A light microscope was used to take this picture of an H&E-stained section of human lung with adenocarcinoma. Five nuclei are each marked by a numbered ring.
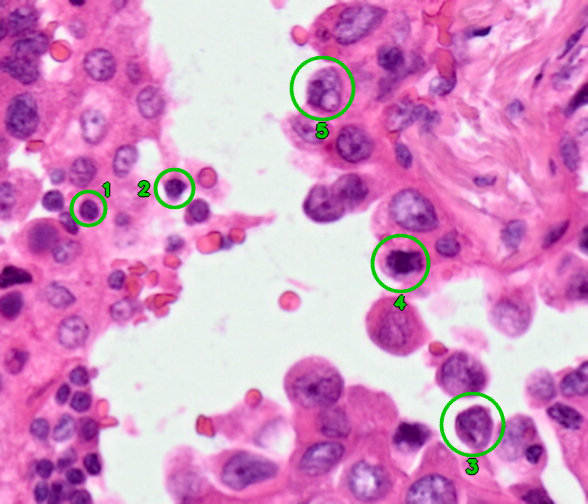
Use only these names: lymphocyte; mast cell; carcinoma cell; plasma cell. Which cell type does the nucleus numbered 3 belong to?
carcinoma cell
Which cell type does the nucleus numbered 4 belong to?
carcinoma cell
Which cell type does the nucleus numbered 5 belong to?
carcinoma cell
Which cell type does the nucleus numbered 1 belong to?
lymphocyte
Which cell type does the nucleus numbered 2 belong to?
lymphocyte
